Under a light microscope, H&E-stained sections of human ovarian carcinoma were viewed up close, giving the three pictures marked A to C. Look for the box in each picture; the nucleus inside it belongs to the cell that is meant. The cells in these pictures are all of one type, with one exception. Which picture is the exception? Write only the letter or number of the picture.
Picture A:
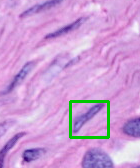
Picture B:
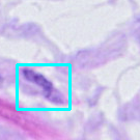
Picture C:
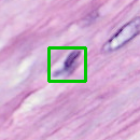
C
